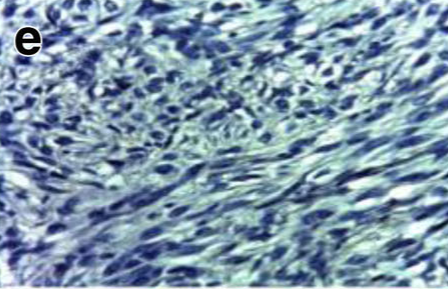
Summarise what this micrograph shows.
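Spindle tumor cells arranged in intersecting fascicles, cut partly along and partly across their length. Nuclei are elongated, tapered and blue, with no brown stain in the cells. Cytoplasm is pale and wispy, and the cells lie closely packed with little stroma between them.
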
